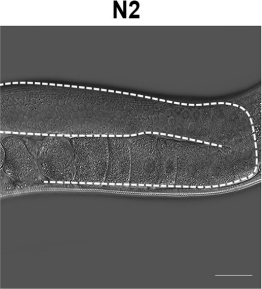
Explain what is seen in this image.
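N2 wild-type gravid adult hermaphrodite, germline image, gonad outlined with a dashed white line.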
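The upper limb of the tube is filled with finely granular tissue of small, densely packed germ cells. The tube wall is smooth and its two limbs are of even width.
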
